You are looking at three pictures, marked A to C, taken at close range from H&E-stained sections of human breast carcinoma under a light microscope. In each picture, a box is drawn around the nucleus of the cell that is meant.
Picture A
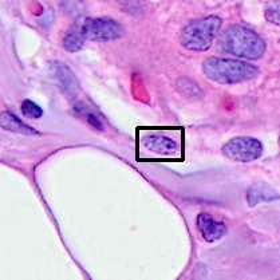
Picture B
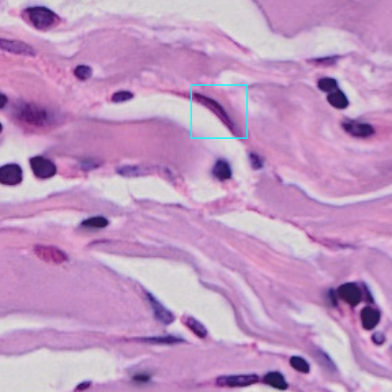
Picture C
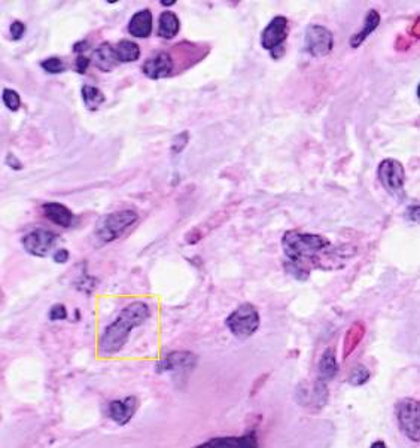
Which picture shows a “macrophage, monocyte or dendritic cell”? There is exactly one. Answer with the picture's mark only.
C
